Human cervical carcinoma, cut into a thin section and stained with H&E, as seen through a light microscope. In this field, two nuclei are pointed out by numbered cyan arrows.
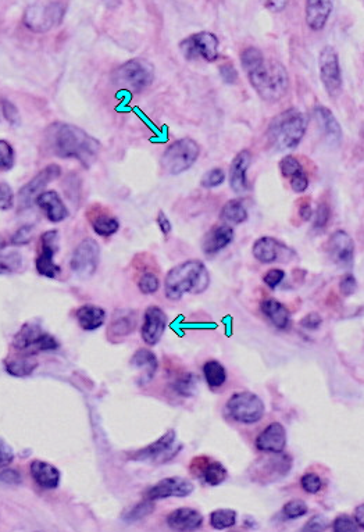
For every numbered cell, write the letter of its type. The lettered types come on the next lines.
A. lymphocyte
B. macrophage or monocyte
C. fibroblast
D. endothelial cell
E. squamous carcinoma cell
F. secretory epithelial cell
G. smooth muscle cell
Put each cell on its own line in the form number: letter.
1: A
2: B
